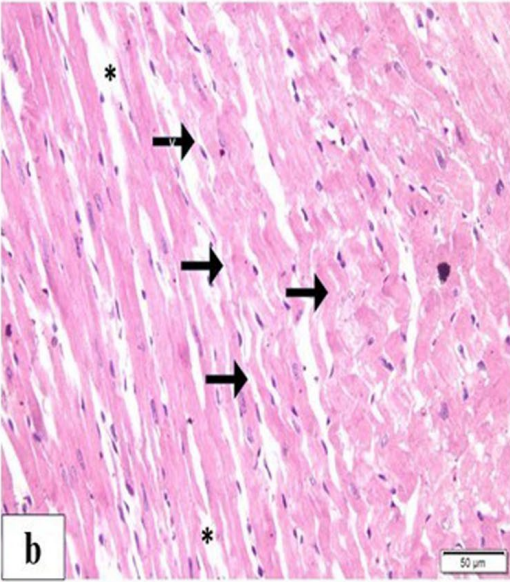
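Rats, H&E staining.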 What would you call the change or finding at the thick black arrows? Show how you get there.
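Corrugated outlines. The fibers indicated by the arrows have wavy, irregular borders. Fibers at the right appear disorganised and pale.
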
